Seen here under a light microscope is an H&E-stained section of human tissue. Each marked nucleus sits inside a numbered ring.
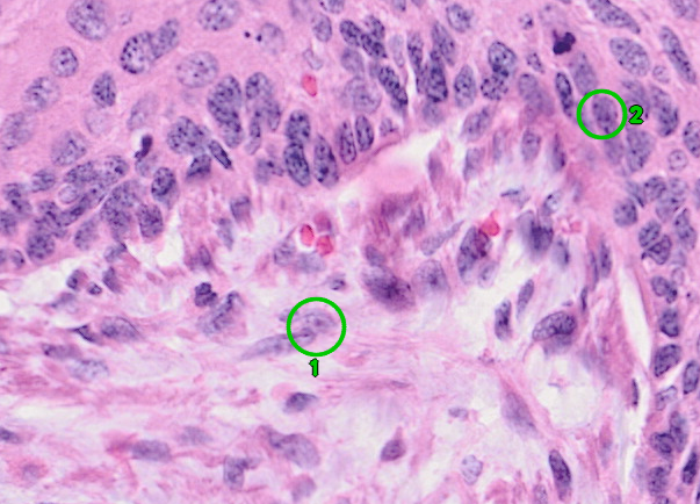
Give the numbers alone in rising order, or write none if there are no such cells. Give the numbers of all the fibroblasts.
1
